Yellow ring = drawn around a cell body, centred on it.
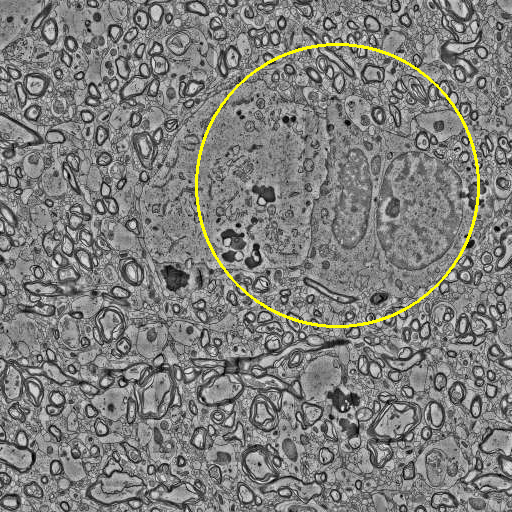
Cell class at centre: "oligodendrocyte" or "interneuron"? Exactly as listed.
oligodendrocyte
